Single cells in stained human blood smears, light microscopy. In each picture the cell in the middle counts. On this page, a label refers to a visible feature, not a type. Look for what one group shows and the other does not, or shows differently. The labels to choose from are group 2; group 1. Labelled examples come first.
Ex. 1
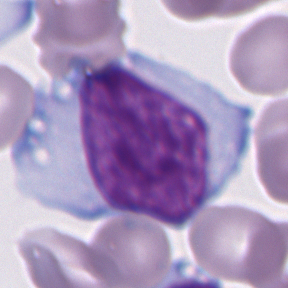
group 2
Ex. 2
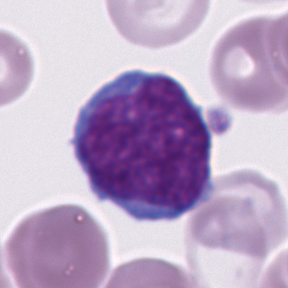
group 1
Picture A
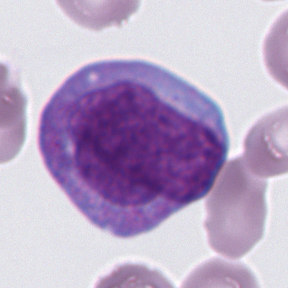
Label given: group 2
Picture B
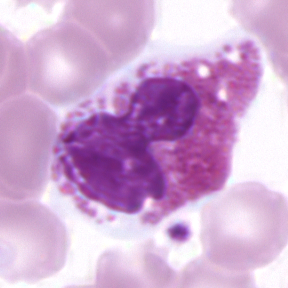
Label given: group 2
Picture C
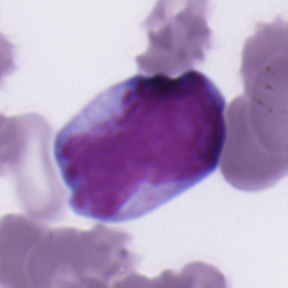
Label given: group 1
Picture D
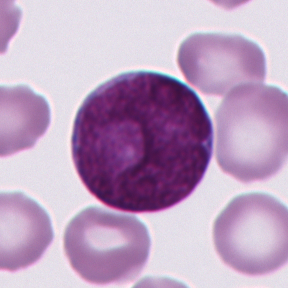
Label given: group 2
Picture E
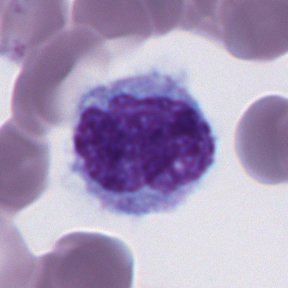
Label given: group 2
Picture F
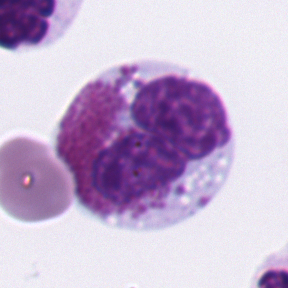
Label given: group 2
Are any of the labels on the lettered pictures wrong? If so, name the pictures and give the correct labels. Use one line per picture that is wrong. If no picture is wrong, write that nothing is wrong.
Wrong: D (group 2); correct: group 1
Wrong: E (group 2); correct: group 1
